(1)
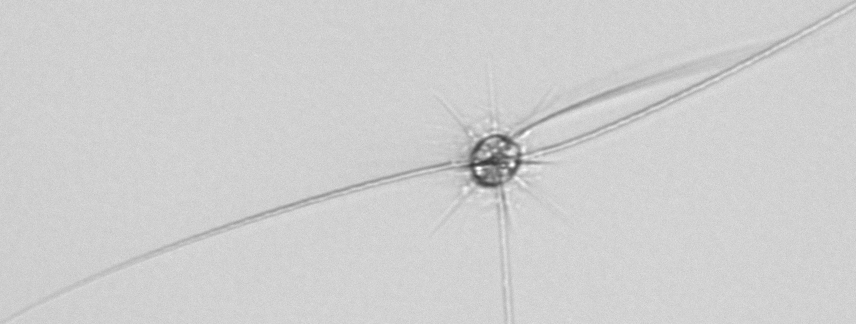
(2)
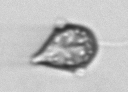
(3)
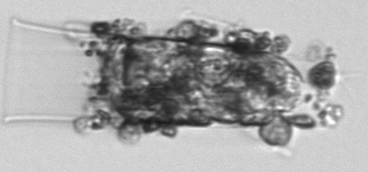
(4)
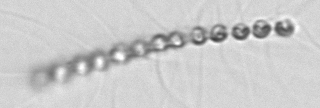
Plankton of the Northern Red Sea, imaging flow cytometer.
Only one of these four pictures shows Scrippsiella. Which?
Picture 2.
